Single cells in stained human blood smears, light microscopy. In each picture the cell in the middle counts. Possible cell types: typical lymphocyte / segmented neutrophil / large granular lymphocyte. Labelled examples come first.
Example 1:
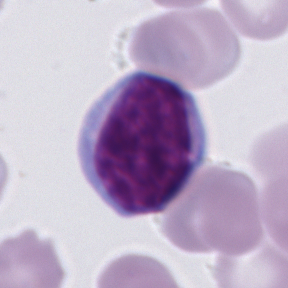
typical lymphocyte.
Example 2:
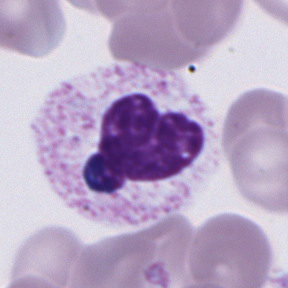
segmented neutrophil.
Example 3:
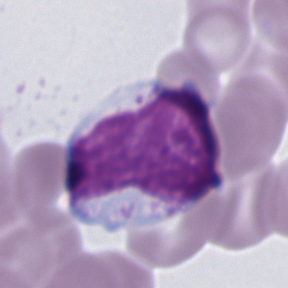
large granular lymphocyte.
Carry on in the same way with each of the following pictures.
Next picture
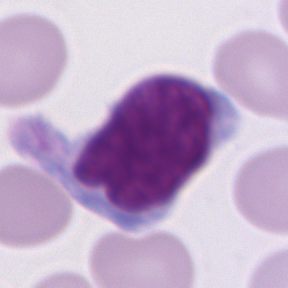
typical lymphocyte.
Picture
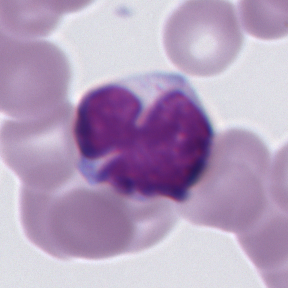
large granular lymphocyte.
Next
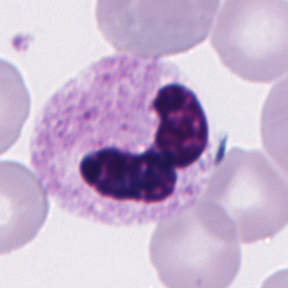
segmented neutrophil.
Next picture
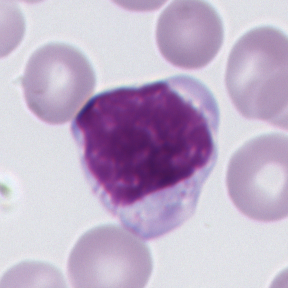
large granular lymphocyte.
